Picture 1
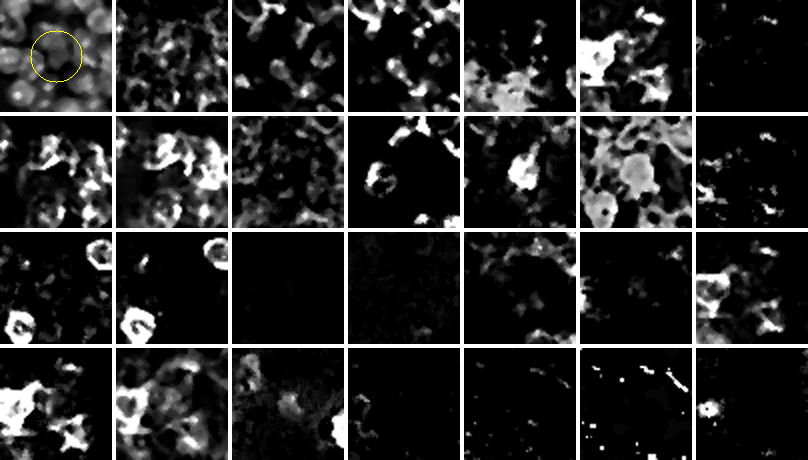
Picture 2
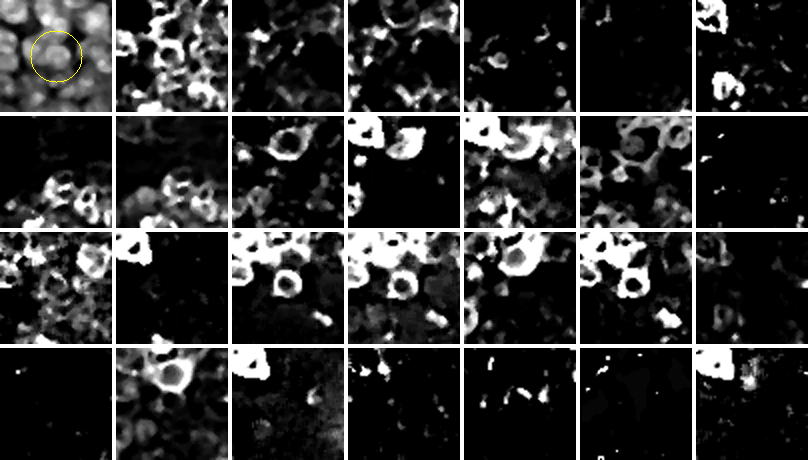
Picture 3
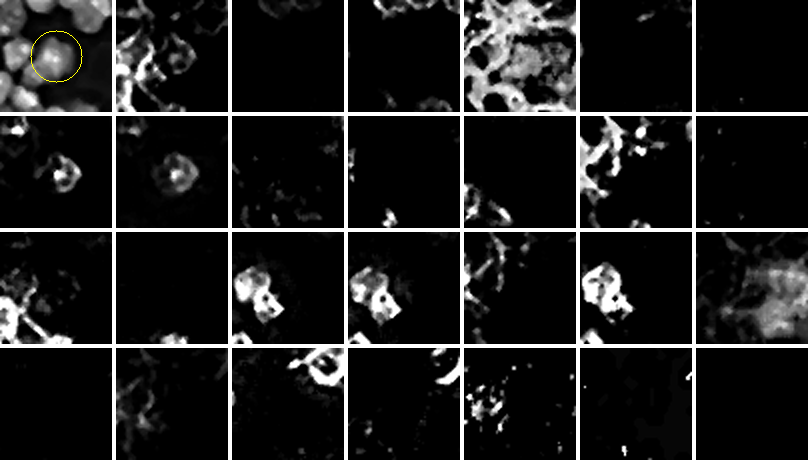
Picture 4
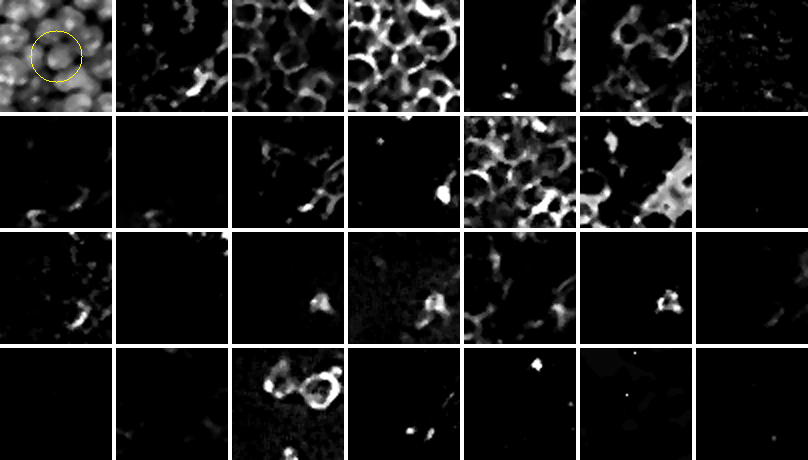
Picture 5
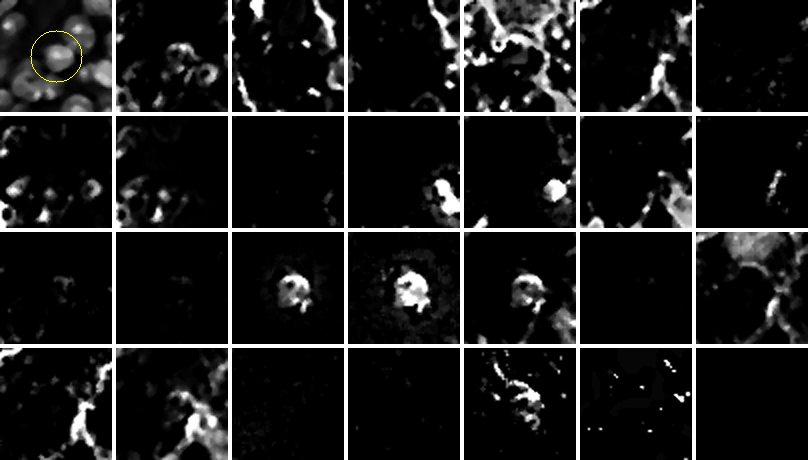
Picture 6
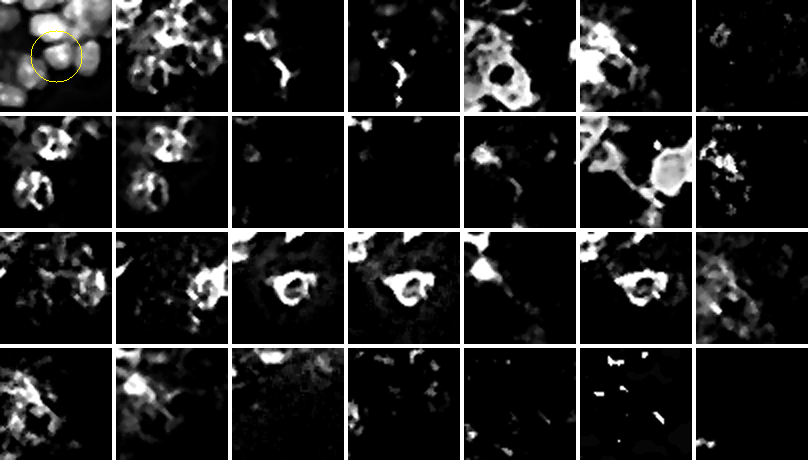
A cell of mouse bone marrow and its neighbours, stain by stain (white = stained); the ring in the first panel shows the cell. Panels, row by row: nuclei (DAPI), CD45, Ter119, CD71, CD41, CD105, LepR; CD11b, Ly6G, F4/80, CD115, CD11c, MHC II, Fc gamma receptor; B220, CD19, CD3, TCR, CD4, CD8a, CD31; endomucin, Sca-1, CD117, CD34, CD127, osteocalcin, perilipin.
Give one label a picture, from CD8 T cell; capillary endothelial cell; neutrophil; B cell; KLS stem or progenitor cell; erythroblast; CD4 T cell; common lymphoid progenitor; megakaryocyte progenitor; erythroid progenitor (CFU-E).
1: KLS stem or progenitor cell
2: CD8 T cell
3: neutrophil
4: erythroblast
5: CD4 T cell
6: CD8 T cell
